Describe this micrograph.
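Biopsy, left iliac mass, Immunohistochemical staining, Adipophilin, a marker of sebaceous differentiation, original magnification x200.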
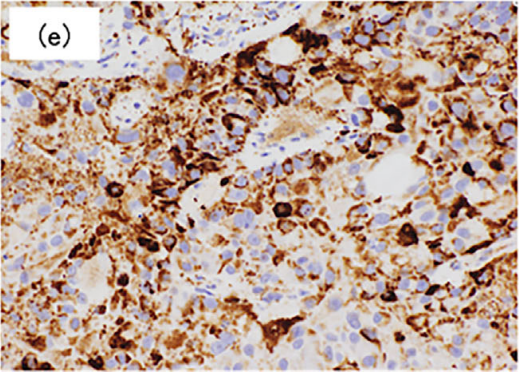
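The brown is granular and patchy, dark and dense in some cells and fainter in others, and it outlines clear vacuoles in the cytoplasm. The tumor cells lie in crowded sheets, with small unstained strands of tissue between them.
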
